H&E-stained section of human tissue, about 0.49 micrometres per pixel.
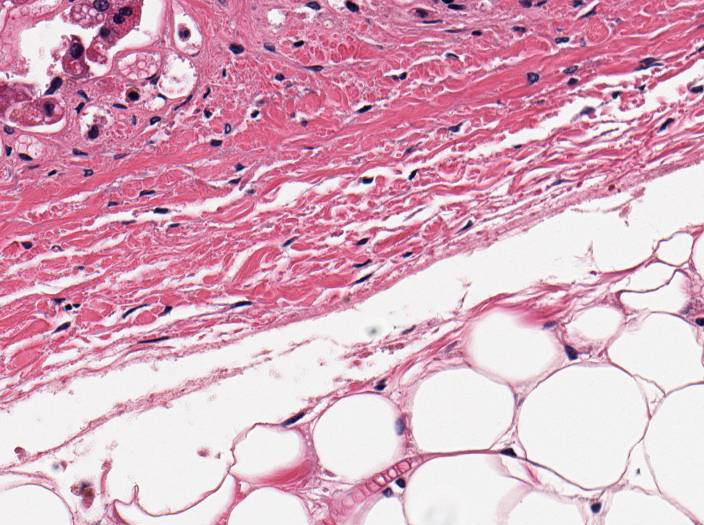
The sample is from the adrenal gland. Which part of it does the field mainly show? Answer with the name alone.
dense connective tissue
